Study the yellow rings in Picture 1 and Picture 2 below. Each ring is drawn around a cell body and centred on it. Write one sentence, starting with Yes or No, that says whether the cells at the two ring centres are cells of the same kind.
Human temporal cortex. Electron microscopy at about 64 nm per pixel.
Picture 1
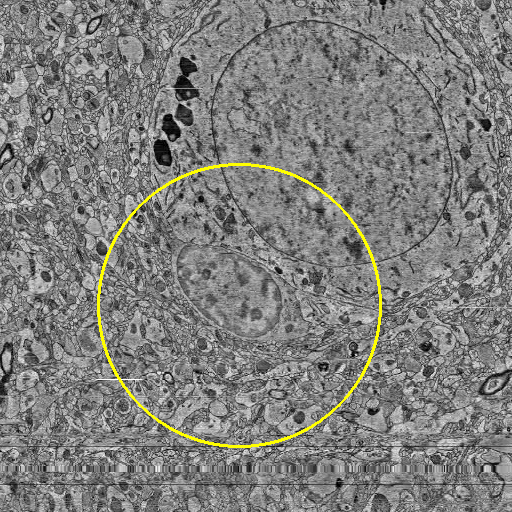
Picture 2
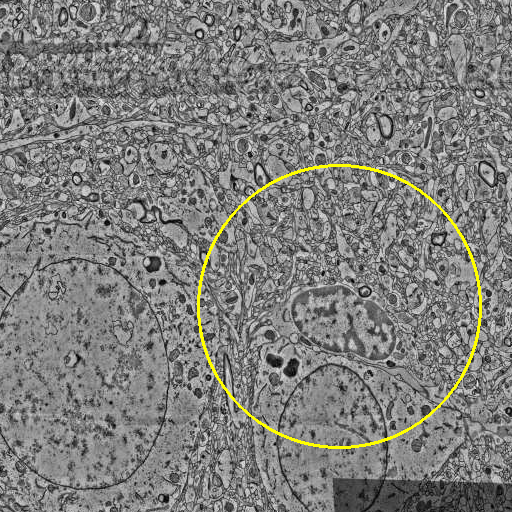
No, the cells at the ring centres are of two kinds.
